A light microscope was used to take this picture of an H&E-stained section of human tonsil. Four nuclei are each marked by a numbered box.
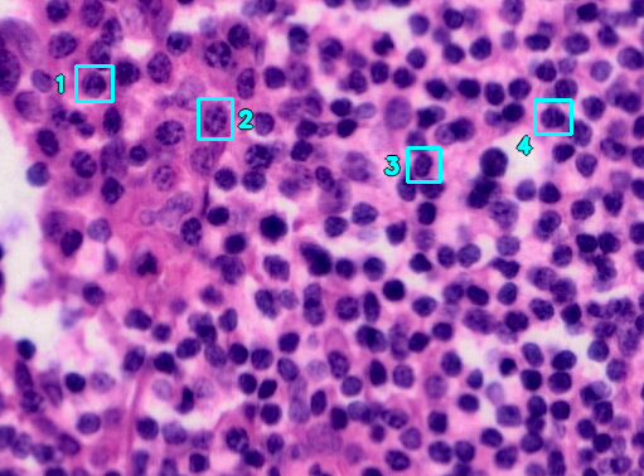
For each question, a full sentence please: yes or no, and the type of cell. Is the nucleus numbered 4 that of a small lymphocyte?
Yes, for number 4, the cell is a small lymphocyte.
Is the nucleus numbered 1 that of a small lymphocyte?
No, instead of a small lymphocyte, the cell with number 1 is a plasma cell.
